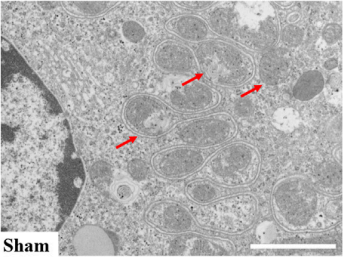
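A nucleus with dark condensed chromatin along its edge lies at the left border of the field. Thin membranes curve around and between the mitochondria, and the cytoplasm around them is grainy with small dense particles.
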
